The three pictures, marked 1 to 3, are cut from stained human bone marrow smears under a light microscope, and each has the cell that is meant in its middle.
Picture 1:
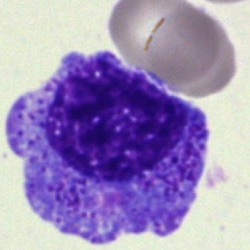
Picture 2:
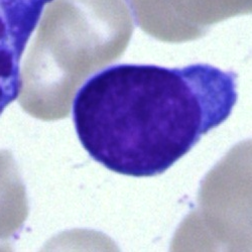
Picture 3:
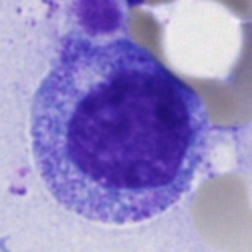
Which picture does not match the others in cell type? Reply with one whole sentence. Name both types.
Picture 2 differs, because its cell is a blast and the rest are promyelocytes.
